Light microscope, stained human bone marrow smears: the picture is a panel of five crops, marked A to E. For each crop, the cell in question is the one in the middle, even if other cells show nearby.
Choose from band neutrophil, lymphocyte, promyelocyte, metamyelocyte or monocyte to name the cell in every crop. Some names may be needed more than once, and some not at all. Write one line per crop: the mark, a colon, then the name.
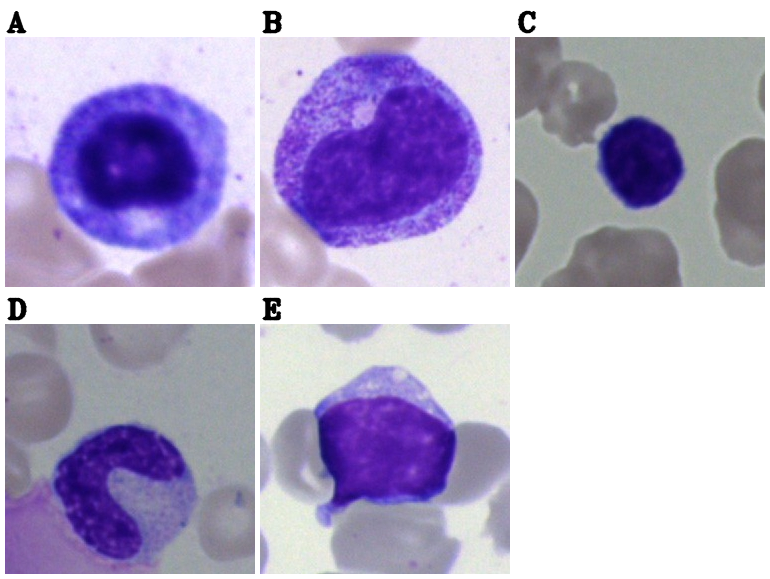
A: promyelocyte
B: promyelocyte
C: lymphocyte
D: band neutrophil
E: lymphocyte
